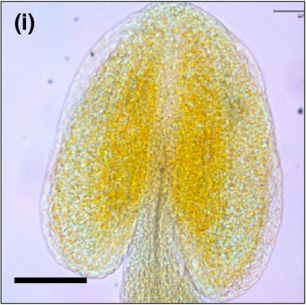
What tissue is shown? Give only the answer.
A: Anthers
